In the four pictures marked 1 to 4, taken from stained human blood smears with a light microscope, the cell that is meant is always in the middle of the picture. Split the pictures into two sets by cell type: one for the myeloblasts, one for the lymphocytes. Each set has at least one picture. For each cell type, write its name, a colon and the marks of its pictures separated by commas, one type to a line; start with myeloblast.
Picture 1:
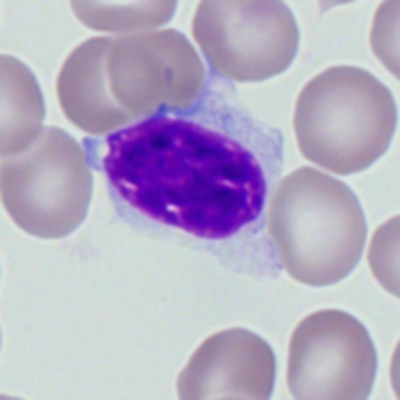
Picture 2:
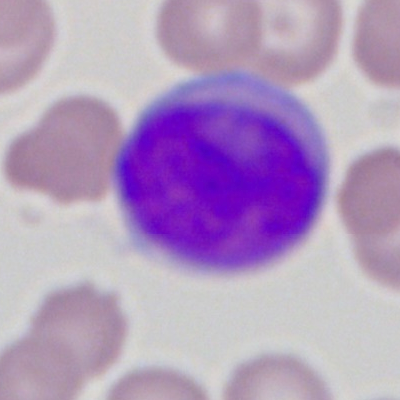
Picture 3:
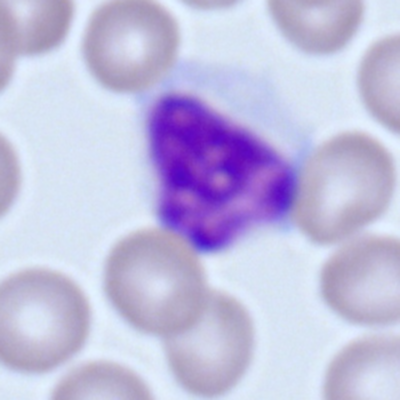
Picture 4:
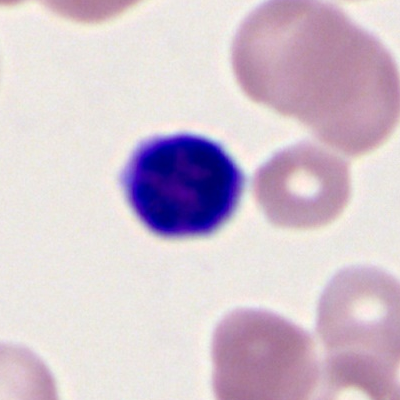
myeloblast: 2
lymphocyte: 1, 3, 4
